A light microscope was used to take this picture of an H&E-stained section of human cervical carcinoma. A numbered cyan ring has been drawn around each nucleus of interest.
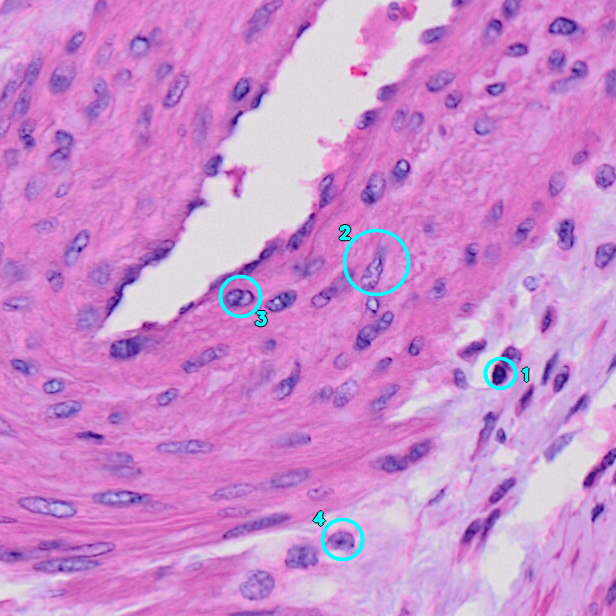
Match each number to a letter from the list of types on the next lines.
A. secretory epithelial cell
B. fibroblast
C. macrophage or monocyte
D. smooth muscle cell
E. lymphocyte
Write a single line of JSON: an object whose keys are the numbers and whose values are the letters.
{"1": "E", "2": "D", "3": "D", "4": "C"}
